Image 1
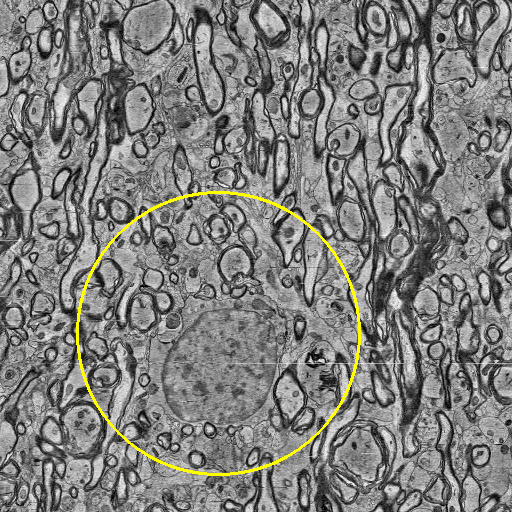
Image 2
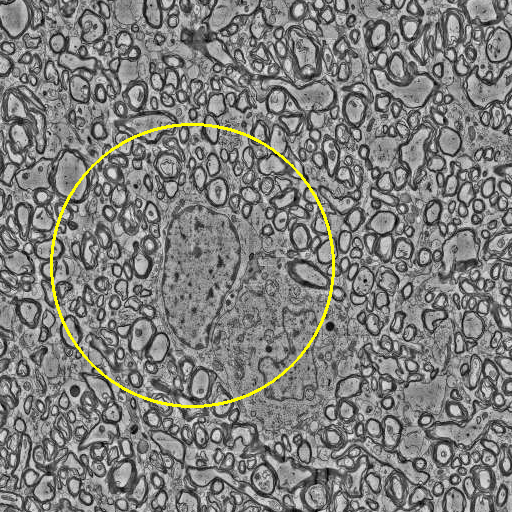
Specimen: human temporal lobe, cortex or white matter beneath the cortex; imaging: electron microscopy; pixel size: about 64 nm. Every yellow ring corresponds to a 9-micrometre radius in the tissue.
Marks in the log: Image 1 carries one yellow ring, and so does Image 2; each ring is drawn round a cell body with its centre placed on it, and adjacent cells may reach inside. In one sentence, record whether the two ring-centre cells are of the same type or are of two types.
The two cells at the ring centres, one in each image, are of two types.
